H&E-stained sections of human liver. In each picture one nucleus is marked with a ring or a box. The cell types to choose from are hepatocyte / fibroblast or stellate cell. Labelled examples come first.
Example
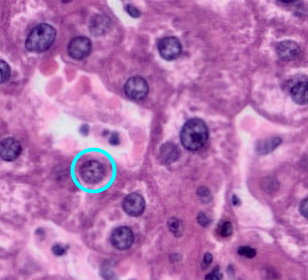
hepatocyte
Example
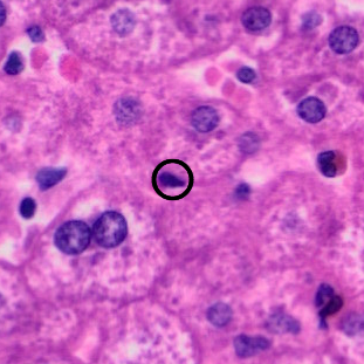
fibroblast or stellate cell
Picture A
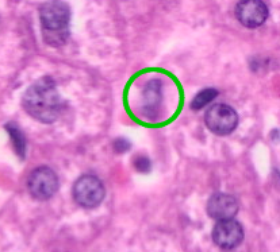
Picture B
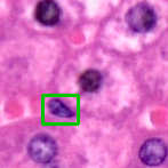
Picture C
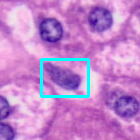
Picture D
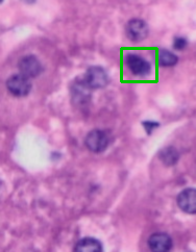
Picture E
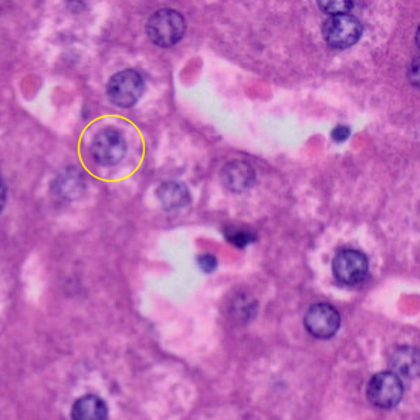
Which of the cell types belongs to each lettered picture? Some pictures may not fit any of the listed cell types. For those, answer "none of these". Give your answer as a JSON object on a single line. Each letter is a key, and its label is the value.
{"A": "none of these", "B": "fibroblast or stellate cell", "C": "none of these", "D": "fibroblast or stellate cell", "E": "hepatocyte"}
